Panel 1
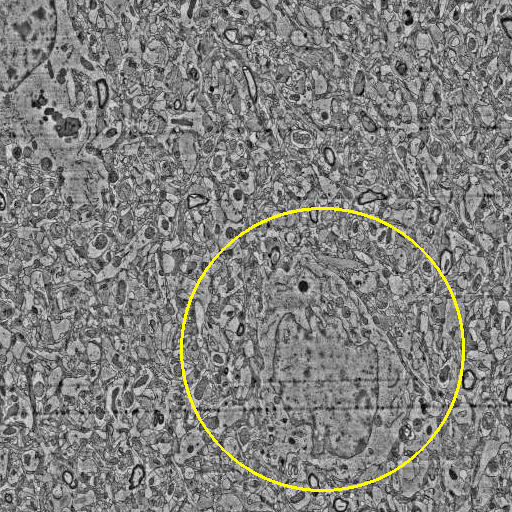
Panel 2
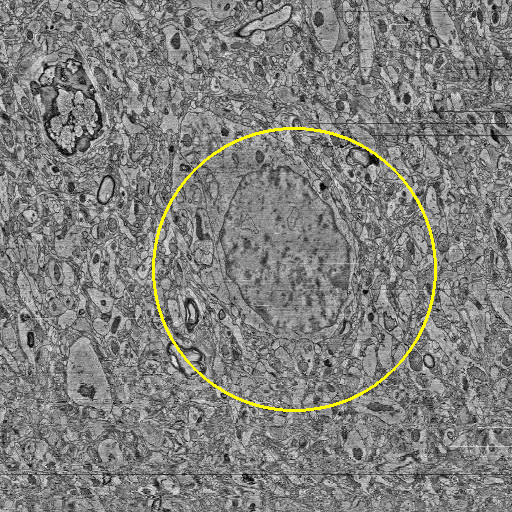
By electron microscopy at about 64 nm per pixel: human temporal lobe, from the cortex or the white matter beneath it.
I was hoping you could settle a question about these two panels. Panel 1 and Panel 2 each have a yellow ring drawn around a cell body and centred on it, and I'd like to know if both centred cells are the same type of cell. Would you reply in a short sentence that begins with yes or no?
Yes, both are the same type of cell.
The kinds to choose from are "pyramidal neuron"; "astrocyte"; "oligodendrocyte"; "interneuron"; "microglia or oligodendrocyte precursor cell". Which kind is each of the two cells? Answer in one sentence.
The second cell is an interneuron, just as the first is.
